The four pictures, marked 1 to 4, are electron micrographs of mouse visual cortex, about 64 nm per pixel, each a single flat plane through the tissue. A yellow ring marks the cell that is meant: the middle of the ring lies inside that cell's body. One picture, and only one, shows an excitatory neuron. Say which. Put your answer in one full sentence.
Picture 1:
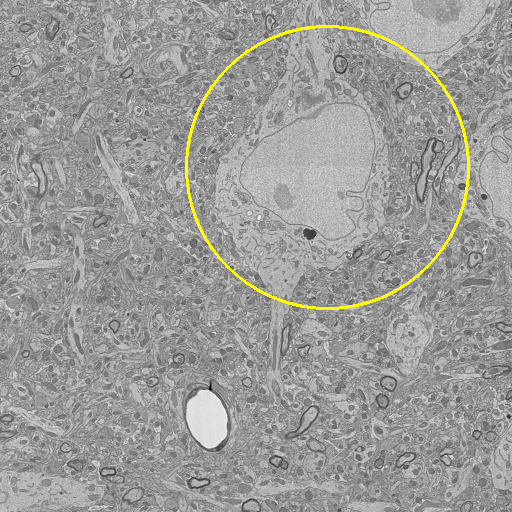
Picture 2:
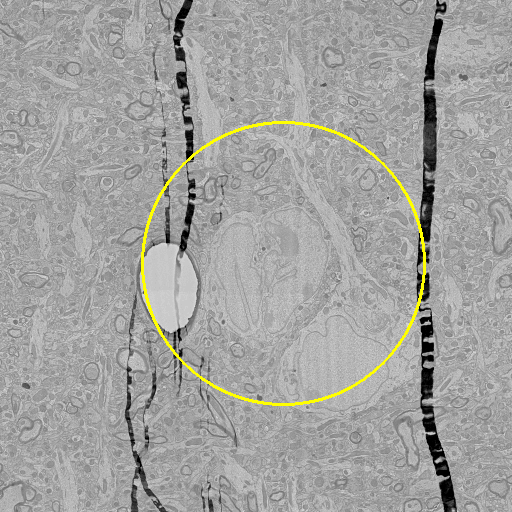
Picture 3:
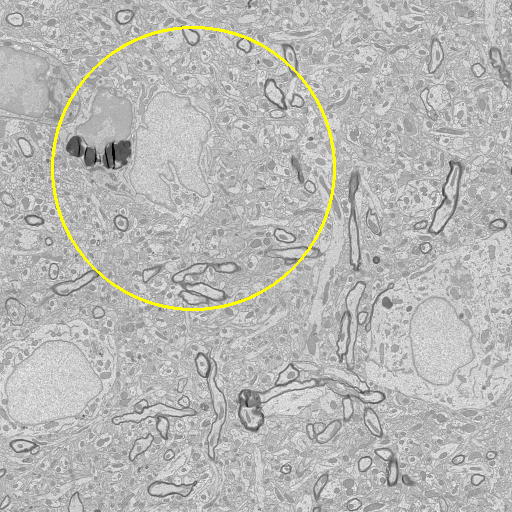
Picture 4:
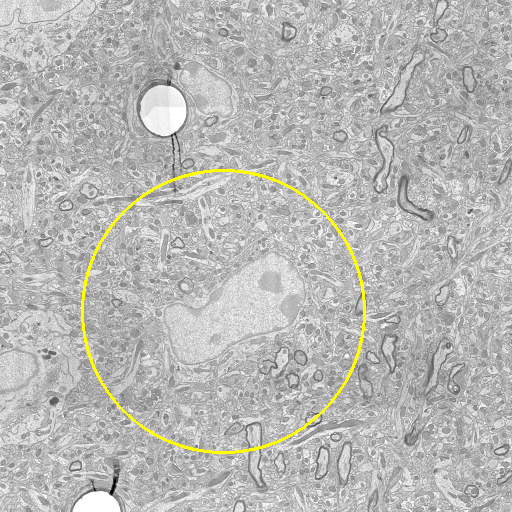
The excitatory neuron is the one in picture 1.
